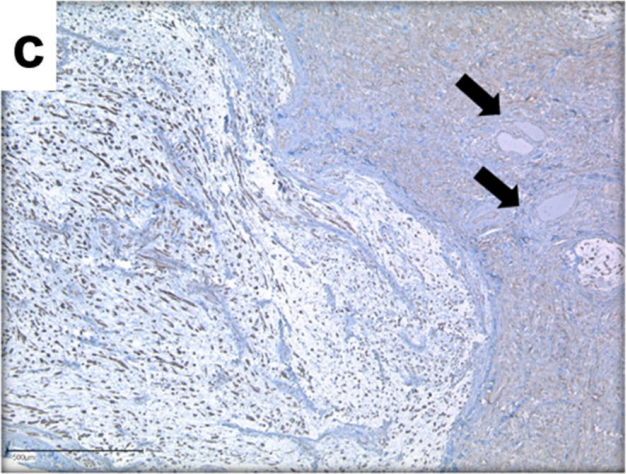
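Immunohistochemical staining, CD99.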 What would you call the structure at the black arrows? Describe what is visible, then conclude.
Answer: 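Remnant thyroid follicles. The arrows point to small round spaces filled with pale homogeneous material. These round structures lie within a densely cellular, brown-stained area.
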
